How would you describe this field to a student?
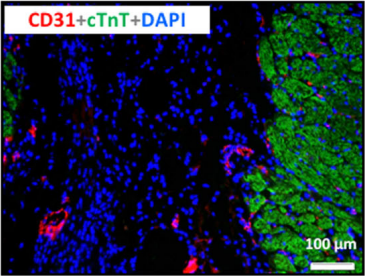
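The green cardiomyocytes on the right are tightly packed fibre profiles with nuclei between them. To the left the tissue holds blue nuclei of small cells spread loosely without green cytoplasm. Dark gaps without nuclei lie in the upper part of the nucleated region.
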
